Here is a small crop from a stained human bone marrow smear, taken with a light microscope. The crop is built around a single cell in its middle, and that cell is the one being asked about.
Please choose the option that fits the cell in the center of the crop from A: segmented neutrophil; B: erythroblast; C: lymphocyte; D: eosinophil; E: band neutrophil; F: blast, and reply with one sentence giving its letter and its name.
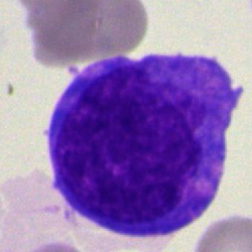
Answer key: option F, the middle cell being a blast.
